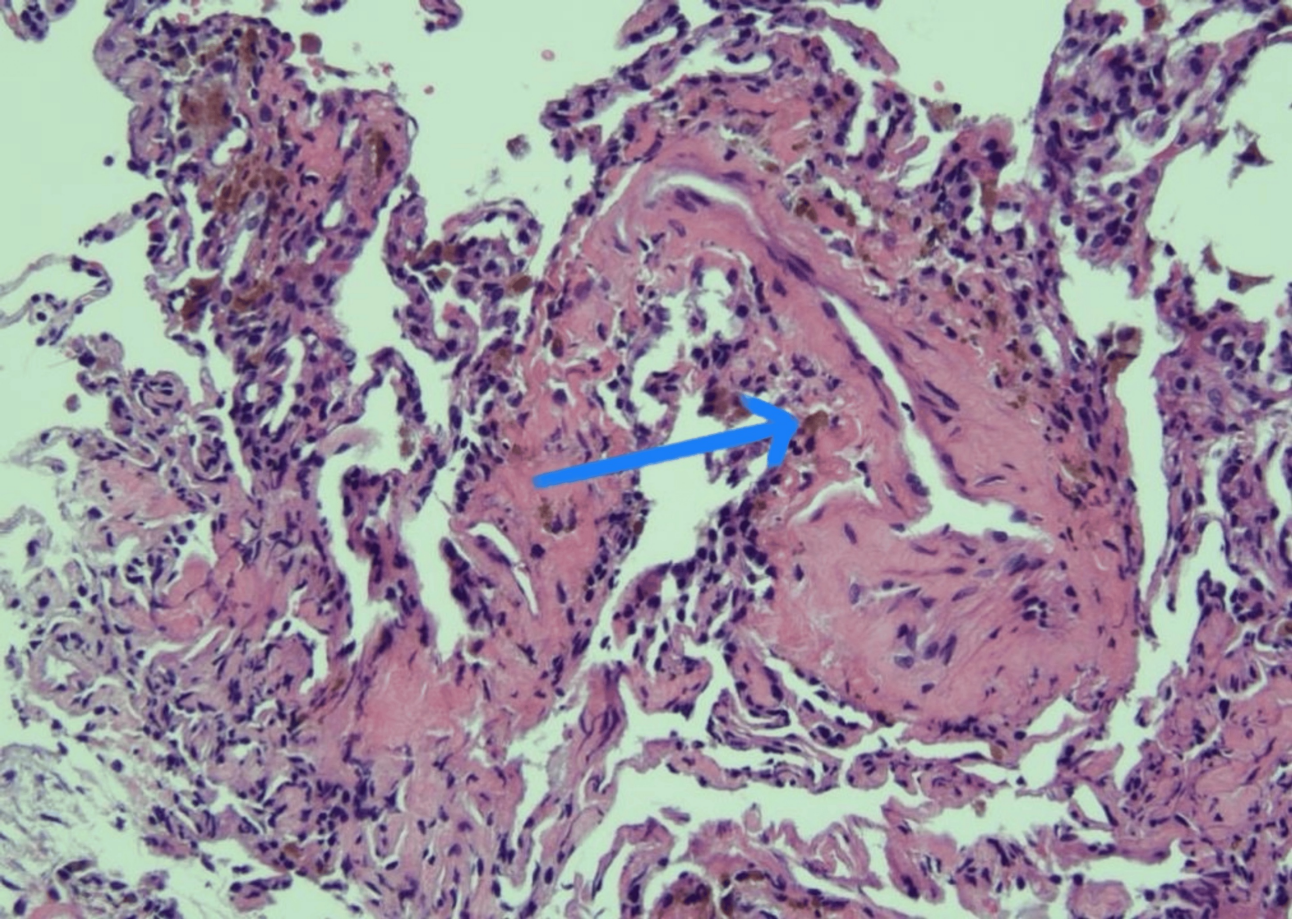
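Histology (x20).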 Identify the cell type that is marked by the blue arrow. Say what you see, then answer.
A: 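The arrow tip lands on a cell cluster holding coarse golden-brown granular pigment. Similar brown pigment-filled cells are scattered through the tissue, especially at upper left.
Answer: hemosiderin-laden macrophages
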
